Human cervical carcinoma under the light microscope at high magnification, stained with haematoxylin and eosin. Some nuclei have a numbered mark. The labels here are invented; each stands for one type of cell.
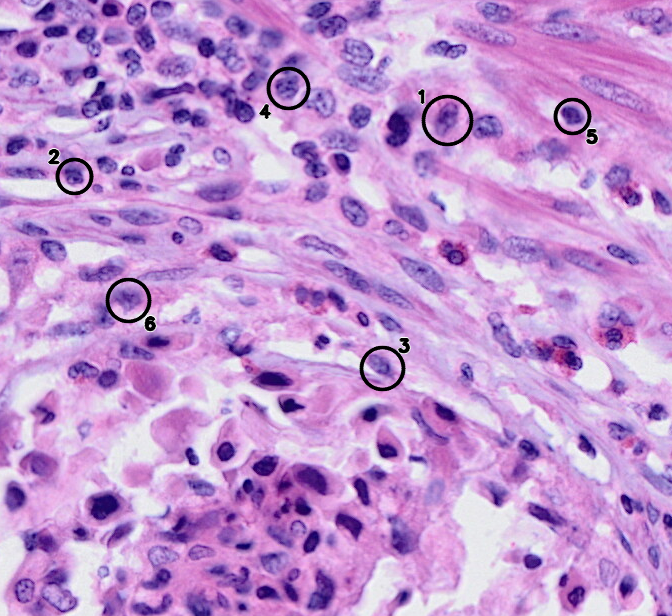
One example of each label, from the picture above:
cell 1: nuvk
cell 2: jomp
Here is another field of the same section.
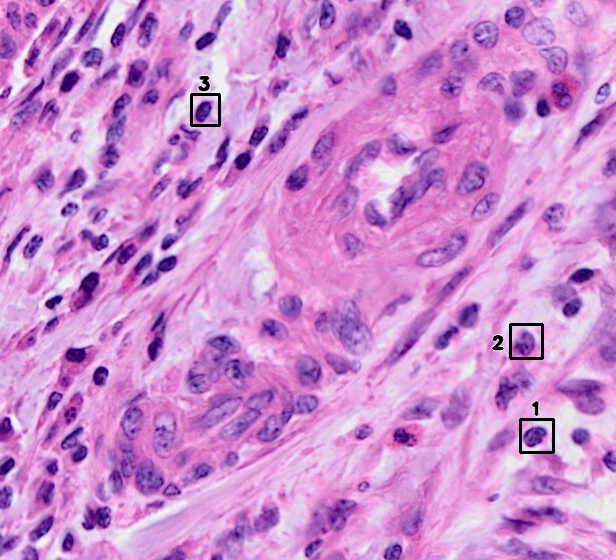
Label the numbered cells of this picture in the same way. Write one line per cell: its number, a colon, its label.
1: jomp
2: nuvk
3: jomp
